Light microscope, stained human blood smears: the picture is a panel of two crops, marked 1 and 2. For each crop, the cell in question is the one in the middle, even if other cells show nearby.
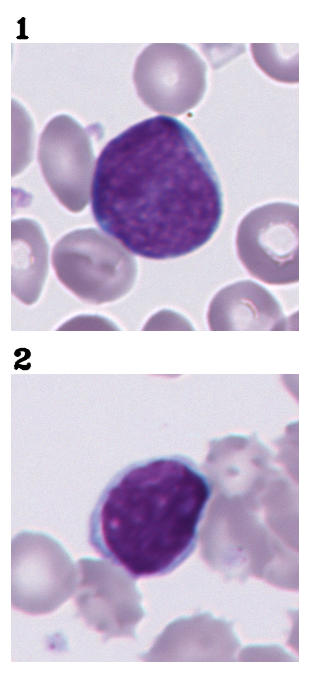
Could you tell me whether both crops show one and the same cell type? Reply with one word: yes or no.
no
